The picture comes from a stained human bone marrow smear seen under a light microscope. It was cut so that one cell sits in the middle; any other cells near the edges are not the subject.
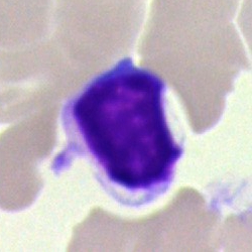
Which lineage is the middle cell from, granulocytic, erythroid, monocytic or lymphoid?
lymphoid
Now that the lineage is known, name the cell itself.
lymphocyte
